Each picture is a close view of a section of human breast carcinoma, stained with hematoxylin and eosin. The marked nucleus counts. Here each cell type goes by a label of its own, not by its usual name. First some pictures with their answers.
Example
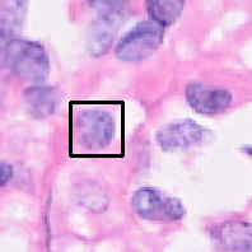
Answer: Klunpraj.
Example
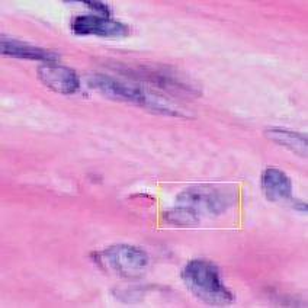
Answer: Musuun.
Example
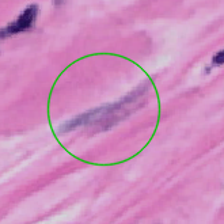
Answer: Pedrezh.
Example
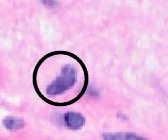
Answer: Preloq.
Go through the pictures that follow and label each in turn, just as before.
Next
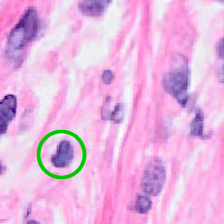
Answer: Preloq.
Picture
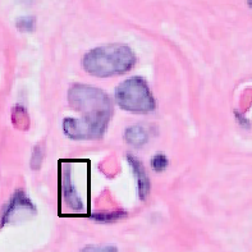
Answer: Musuun.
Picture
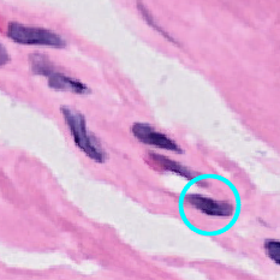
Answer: Musuun.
